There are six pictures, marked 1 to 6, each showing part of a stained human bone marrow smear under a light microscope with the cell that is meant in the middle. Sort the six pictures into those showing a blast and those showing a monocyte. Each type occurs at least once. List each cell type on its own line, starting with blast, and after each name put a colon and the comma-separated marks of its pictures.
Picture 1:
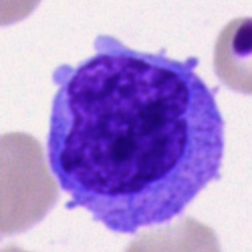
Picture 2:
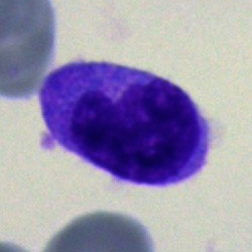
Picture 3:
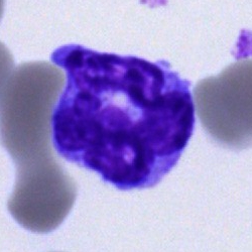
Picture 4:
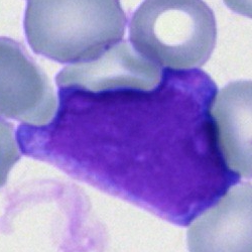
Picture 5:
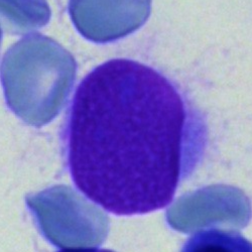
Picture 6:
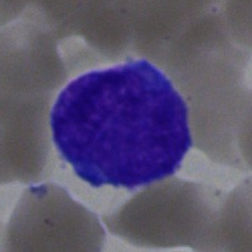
blast: 4, 5, 6
monocyte: 1, 2, 3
